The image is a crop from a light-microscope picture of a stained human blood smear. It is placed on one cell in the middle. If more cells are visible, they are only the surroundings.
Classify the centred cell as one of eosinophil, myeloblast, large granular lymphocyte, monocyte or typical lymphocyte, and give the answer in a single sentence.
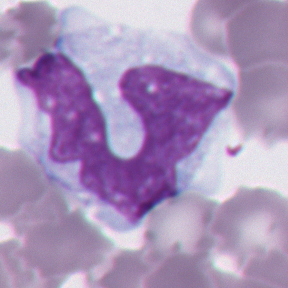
The cell in the exact centre of the crop is a monocyte.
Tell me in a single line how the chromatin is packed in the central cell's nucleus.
Chromatin texture is fine, and coarse clumps are absent.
